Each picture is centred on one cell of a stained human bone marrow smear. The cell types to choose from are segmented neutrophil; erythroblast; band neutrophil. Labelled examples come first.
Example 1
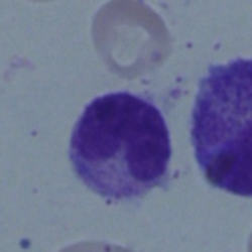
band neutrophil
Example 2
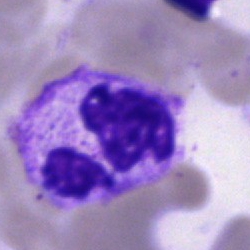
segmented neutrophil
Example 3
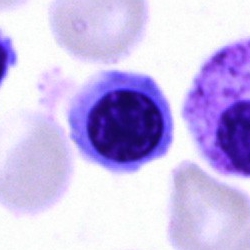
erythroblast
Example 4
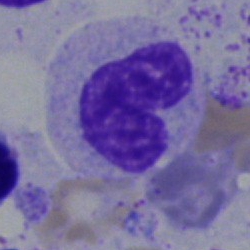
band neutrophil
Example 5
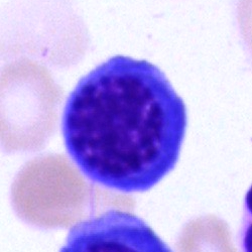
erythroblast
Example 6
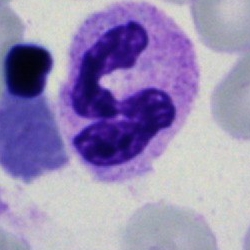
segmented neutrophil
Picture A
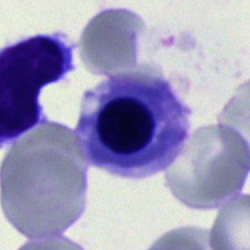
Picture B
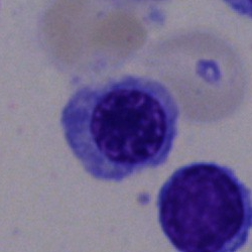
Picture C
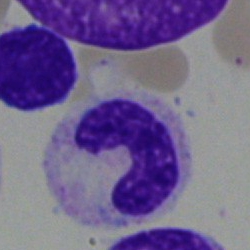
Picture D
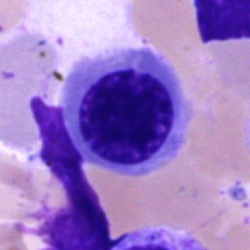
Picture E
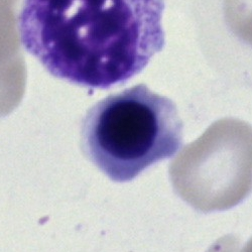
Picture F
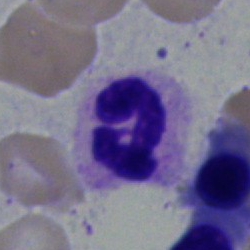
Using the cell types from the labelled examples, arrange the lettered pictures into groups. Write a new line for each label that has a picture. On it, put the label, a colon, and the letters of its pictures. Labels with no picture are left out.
segmented neutrophil: F
erythroblast: A, B, D, E
band neutrophil: C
